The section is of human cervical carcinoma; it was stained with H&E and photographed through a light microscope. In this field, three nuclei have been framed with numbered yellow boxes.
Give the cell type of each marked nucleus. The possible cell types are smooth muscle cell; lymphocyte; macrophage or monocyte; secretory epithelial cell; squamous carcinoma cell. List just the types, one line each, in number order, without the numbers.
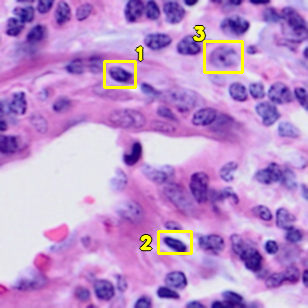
lymphocyte
lymphocyte
macrophage or monocyte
